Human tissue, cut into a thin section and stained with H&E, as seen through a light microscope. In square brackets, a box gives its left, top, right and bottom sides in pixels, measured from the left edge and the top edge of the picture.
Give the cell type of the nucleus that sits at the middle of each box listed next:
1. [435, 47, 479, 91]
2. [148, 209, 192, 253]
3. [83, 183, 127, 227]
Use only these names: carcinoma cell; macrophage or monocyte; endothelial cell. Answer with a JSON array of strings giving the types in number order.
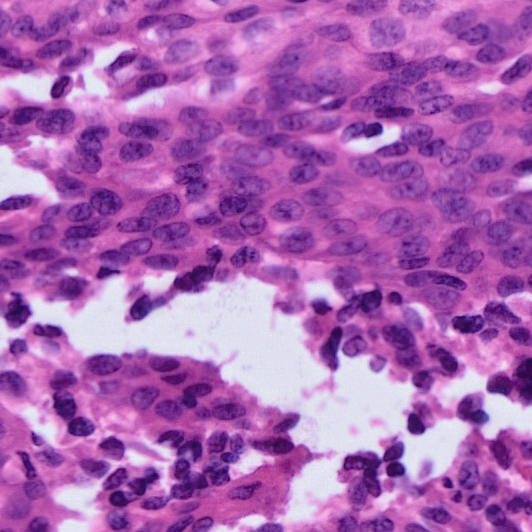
["macrophage or monocyte", "carcinoma cell", "carcinoma cell"]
